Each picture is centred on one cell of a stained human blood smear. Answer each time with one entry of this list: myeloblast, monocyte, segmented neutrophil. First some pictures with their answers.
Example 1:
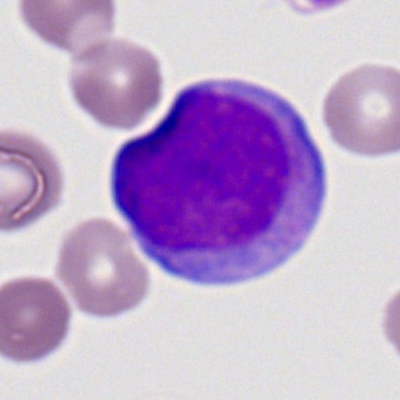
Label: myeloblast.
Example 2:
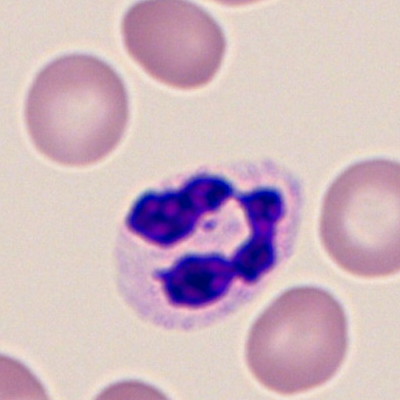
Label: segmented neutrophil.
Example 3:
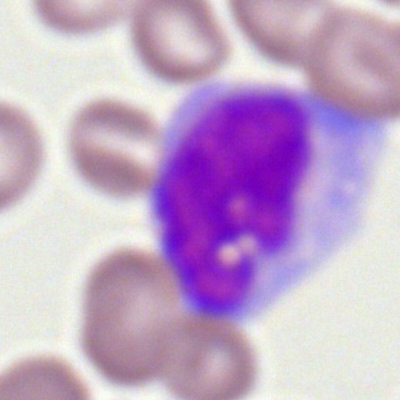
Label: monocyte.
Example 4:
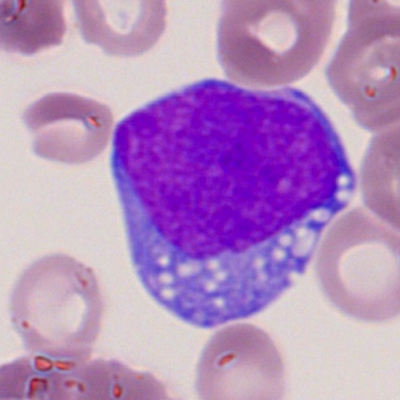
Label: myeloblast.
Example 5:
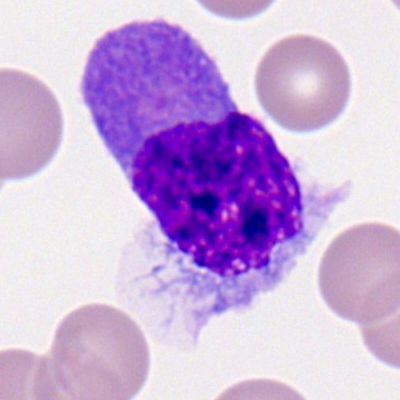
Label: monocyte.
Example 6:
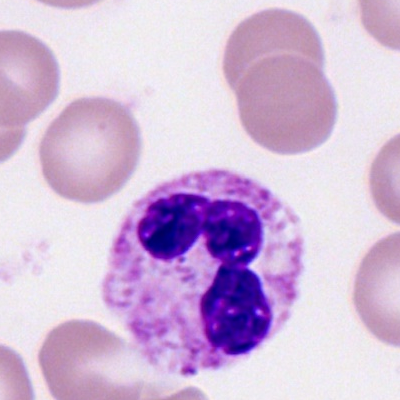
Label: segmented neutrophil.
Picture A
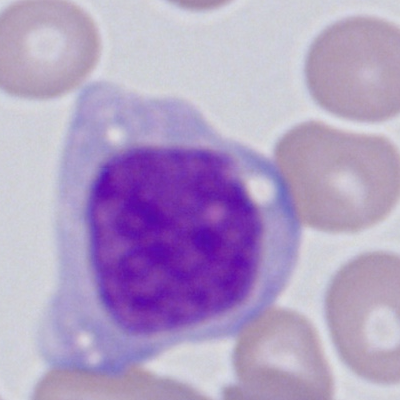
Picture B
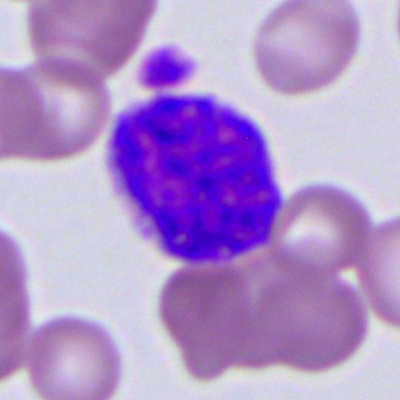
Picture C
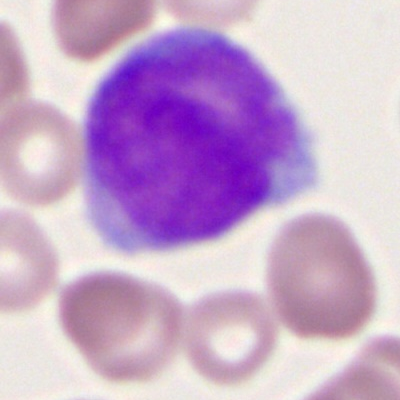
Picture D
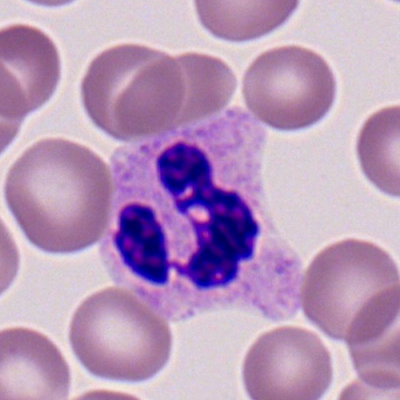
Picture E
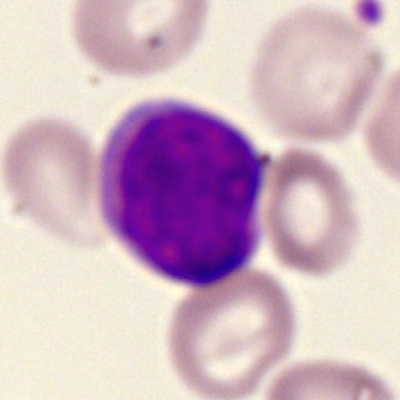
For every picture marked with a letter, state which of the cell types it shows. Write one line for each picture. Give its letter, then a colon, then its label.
A: monocyte.
B: myeloblast.
C: myeloblast.
D: segmented neutrophil.
E: myeloblast.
